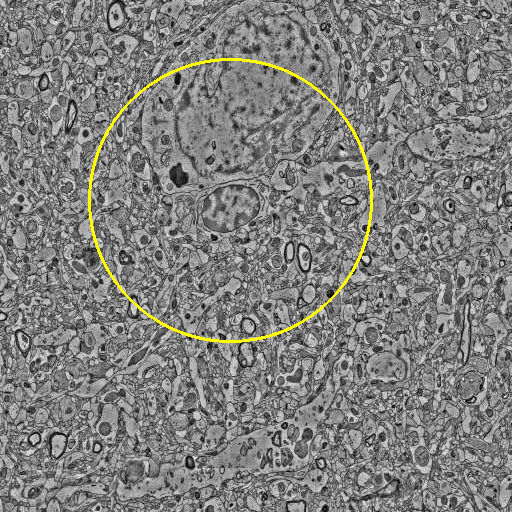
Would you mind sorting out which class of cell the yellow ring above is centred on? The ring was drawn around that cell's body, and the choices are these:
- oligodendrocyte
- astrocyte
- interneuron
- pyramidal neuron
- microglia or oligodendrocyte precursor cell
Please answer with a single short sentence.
This is the cell body of a microglial cell or oligodendrocyte precursor cell.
